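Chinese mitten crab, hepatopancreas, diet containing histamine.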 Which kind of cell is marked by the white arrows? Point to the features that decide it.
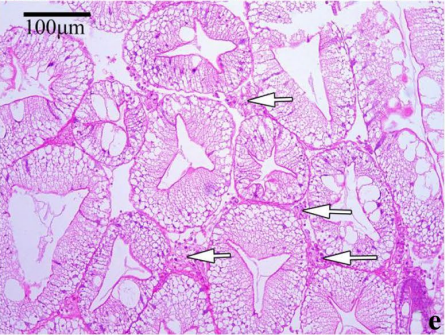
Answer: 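Haemocytes. The white arrows point into the spaces between neighbouring tubules. Small, darker-staining cells lie in these interstitial spaces.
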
